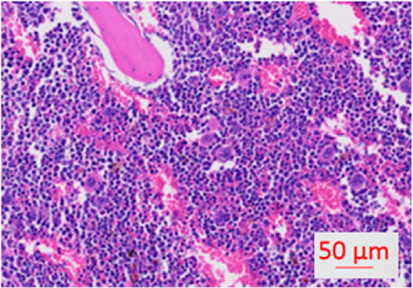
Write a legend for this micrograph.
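This is densely cellular bone marrow made up of tightly packed hematopoietic cells. Most cells are small and round with dark purple nuclei and little cytoplasm. A pink, elongated bone trabecula crosses the upper left, and pink-red pools of red blood cells mark vascular sinusoids. No fat vacuoles are seen between the cells.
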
